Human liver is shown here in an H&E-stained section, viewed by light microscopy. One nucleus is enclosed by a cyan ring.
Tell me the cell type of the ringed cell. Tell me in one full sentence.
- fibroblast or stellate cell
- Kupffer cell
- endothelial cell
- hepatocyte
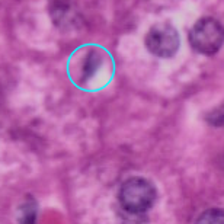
In the tissue under study, the ringed cell is an endothelial cell.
